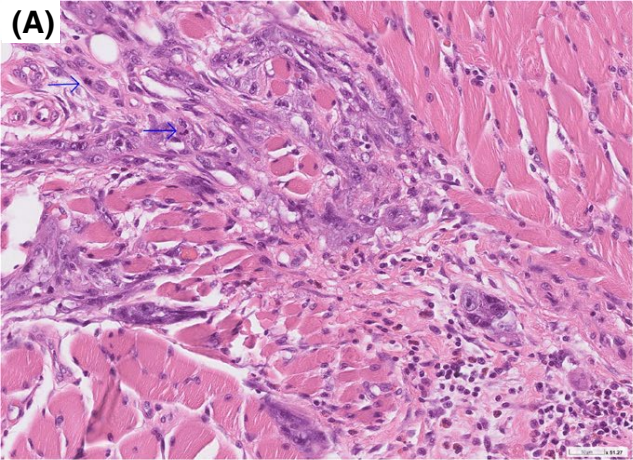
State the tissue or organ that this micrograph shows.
Skeletal muscle tissue.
